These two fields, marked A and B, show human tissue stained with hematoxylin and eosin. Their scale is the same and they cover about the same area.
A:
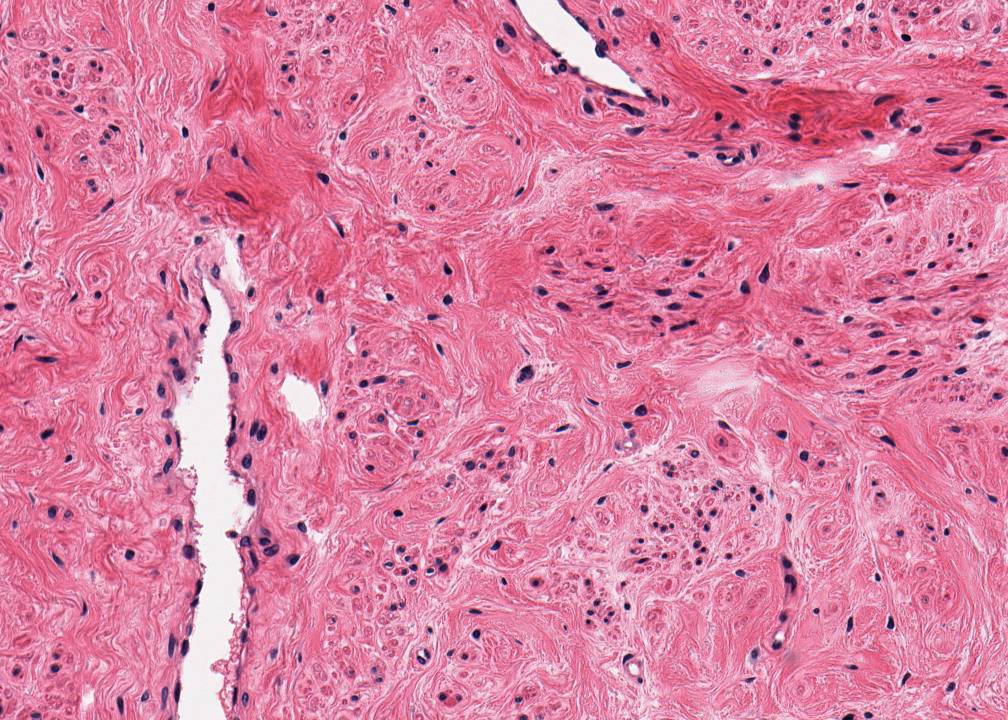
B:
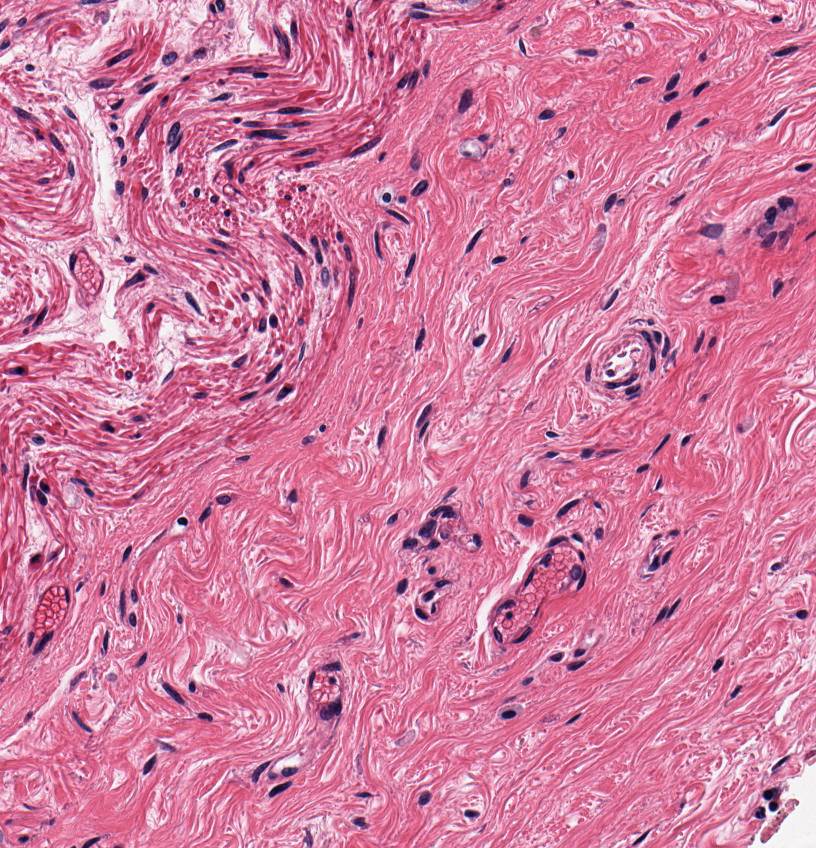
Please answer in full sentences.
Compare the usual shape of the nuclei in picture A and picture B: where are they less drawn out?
On the whole the nuclei of picture A are rounder than those of picture B.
